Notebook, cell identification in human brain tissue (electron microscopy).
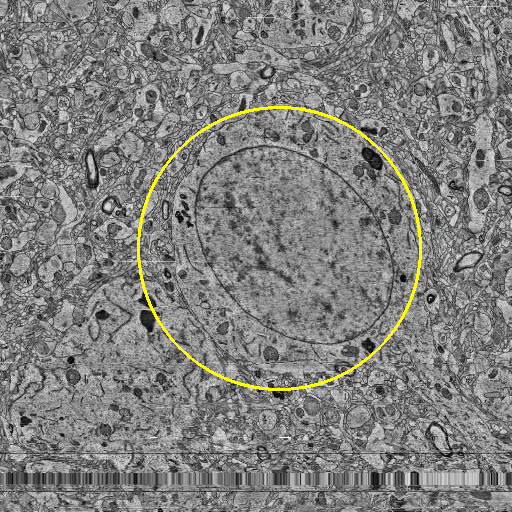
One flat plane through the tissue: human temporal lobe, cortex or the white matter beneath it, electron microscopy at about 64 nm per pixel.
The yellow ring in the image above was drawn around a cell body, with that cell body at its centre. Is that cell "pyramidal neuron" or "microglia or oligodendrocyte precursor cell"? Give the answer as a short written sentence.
The cell in the ring is a pyramidal neuron.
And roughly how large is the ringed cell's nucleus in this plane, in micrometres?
The ringed cell's nucleus is about 15 micrometres long and 11 micrometres wide in this plane.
